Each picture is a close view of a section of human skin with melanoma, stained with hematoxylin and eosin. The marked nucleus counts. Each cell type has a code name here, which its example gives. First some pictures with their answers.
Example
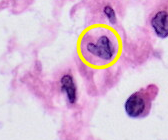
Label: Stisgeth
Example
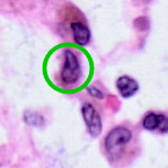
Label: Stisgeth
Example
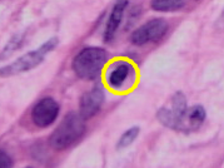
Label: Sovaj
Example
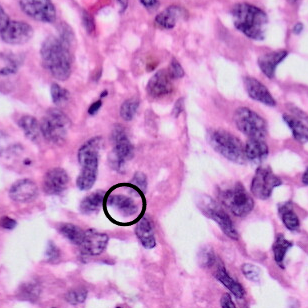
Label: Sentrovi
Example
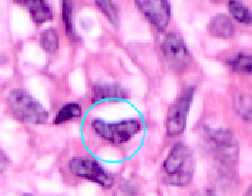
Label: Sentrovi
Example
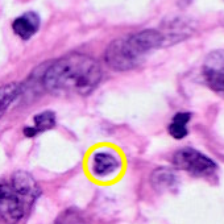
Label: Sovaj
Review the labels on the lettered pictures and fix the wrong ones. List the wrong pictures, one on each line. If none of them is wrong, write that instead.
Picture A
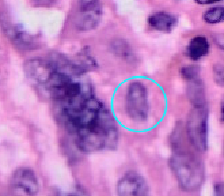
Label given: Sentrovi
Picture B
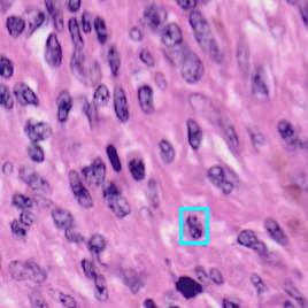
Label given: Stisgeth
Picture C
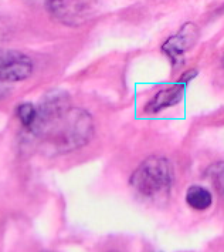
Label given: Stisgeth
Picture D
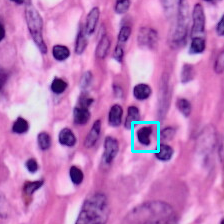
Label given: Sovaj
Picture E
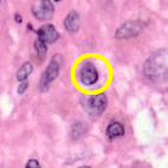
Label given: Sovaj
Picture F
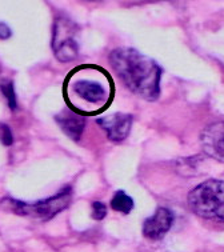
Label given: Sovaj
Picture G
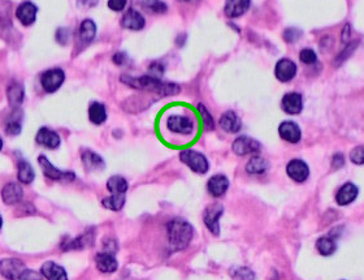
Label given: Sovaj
B: Sovaj, not Stisgeth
